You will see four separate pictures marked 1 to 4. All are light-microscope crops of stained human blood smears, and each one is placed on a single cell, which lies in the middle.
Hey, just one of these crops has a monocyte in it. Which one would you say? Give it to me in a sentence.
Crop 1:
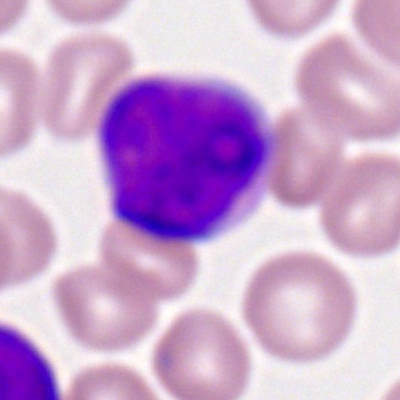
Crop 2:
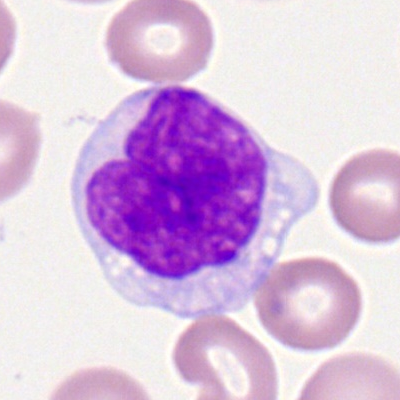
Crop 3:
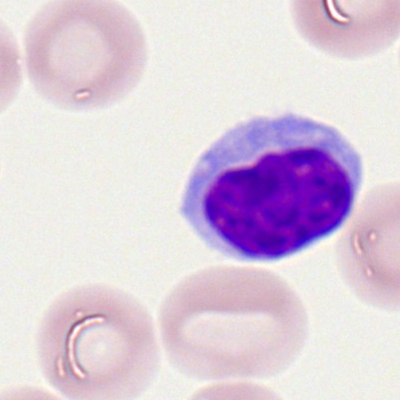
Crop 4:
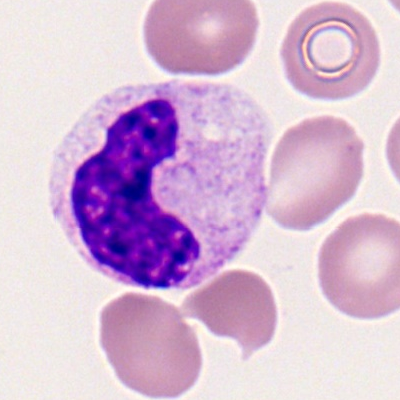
In this set, crop 2 is the one showing a monocyte.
